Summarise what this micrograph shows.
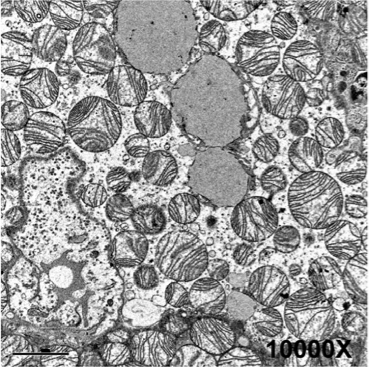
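This electron micrograph shows the cytoplasm of brown adipocytes crowded with mitochondria. Most mitochondria are round to oval and are crossed by many closely packed, parallel cristae running across their width. Among them lie several large, smooth, uniformly grey round lipid droplets, much bigger than the mitochondria. Between the organelles there are patches of lighter cytoplasm with fine granular material and a few small vesicles.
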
